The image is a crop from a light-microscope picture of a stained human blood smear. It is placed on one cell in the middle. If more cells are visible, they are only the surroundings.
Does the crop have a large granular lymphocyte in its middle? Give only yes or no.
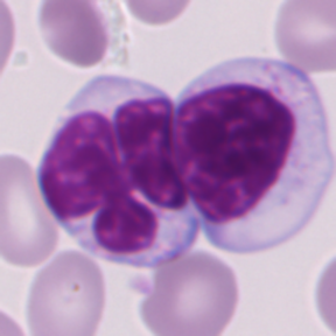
yes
